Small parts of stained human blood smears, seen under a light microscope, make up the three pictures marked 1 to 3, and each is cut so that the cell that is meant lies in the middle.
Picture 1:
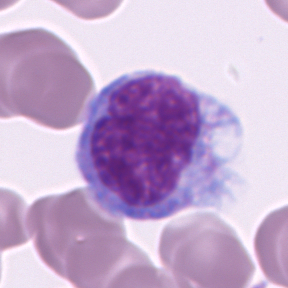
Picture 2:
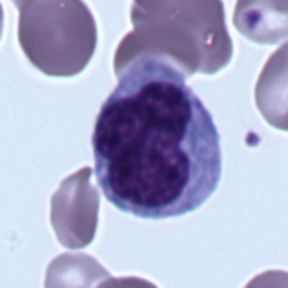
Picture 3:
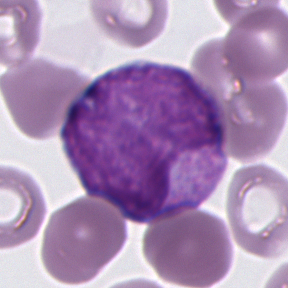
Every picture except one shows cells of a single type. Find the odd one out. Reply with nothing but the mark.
3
